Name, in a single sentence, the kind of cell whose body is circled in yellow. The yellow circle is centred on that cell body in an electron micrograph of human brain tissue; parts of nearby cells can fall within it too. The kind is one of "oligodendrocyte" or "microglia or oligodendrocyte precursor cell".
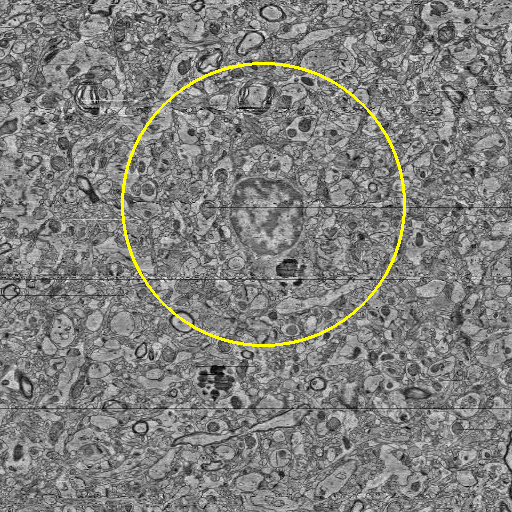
The circled cell body belongs to an oligodendrocyte.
